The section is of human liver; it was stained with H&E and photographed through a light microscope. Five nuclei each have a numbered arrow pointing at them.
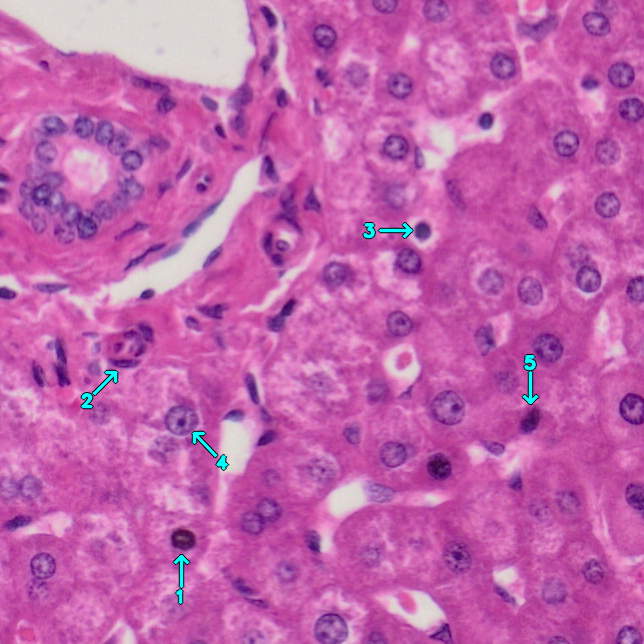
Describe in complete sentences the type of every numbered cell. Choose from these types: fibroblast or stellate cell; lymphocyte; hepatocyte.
Cell 1 is a hepatocyte, cell 2 is a fibroblast or stellate cell, cell 3 is a lymphocyte, cell 4 is a hepatocyte and cell 5 is a fibroblast or stellate cell.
